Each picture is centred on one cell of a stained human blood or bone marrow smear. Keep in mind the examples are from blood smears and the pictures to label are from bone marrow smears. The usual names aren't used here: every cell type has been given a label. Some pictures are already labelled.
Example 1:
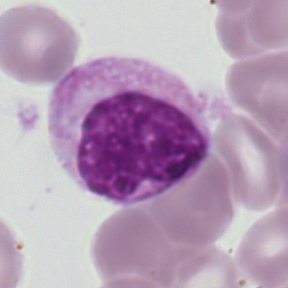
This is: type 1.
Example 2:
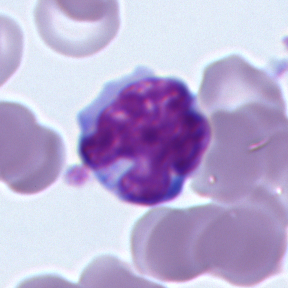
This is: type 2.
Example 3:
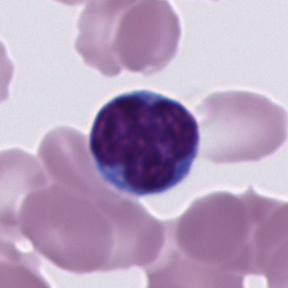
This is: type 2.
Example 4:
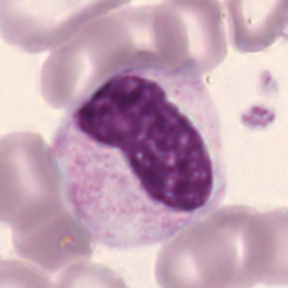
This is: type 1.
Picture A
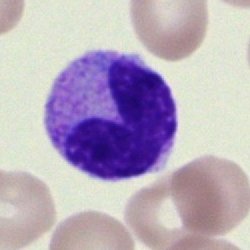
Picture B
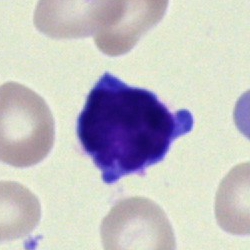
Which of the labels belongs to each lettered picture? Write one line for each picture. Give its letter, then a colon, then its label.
A: type 1.
B: type 2.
